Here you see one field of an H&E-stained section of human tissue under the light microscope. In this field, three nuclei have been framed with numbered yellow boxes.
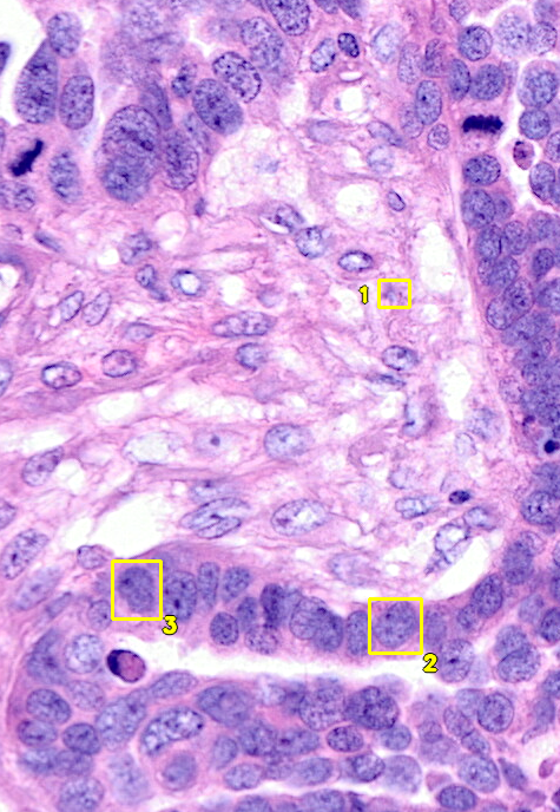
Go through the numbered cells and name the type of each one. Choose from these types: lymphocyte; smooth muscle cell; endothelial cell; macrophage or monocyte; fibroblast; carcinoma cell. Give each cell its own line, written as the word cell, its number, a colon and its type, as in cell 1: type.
cell 1: fibroblast
cell 2: carcinoma cell
cell 3: carcinoma cell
